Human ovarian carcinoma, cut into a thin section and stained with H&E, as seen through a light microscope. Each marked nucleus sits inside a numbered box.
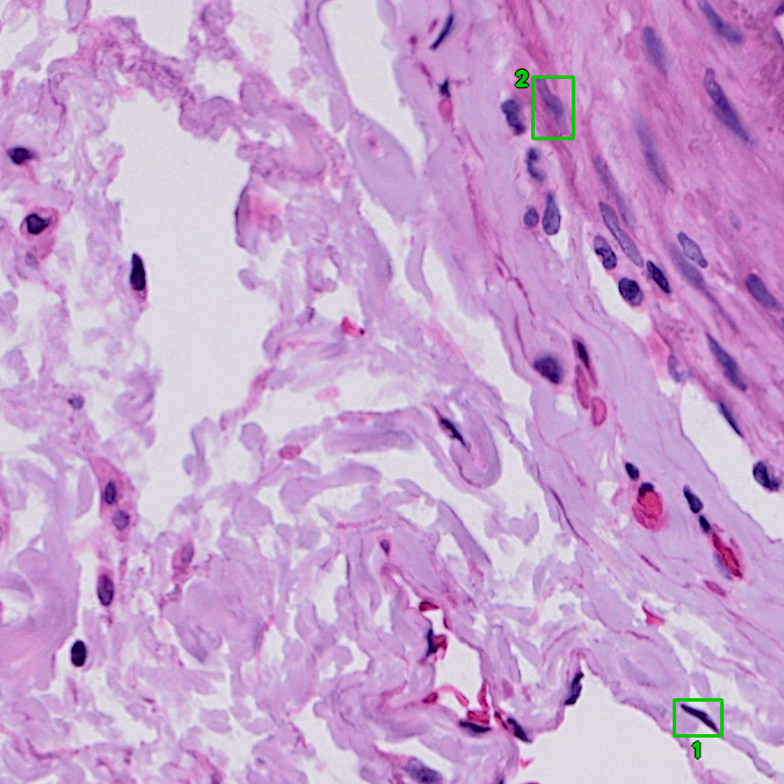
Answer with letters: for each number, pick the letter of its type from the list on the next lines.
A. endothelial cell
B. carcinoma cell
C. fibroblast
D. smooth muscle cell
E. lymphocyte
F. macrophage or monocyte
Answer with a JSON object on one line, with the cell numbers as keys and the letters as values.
{"1": "C", "2": "D"}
